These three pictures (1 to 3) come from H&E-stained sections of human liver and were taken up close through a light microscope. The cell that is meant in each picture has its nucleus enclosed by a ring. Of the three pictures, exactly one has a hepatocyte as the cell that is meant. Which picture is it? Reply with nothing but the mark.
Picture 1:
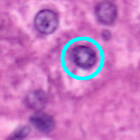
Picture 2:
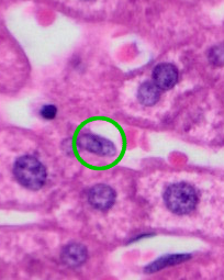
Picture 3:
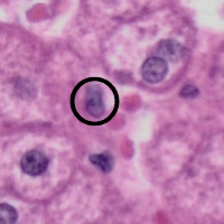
1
